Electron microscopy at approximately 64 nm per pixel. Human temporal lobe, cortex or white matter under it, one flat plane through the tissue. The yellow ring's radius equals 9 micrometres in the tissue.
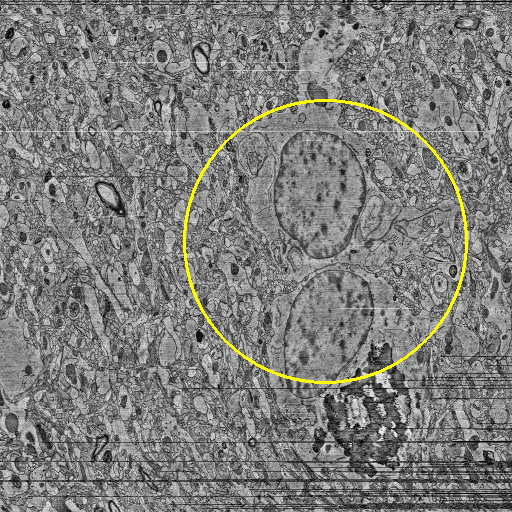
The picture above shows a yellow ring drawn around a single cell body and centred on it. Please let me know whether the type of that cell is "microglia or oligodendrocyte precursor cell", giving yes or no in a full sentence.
No, the cell at the centre of the ring above has a different type.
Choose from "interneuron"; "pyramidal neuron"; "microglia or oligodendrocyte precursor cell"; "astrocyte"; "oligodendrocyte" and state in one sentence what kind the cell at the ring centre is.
It is an astrocyte that the ring is centred on.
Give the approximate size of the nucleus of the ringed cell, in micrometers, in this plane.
The ringed cell's nucleus is about 8 micrometres long and 6 micrometres wide in this plane.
